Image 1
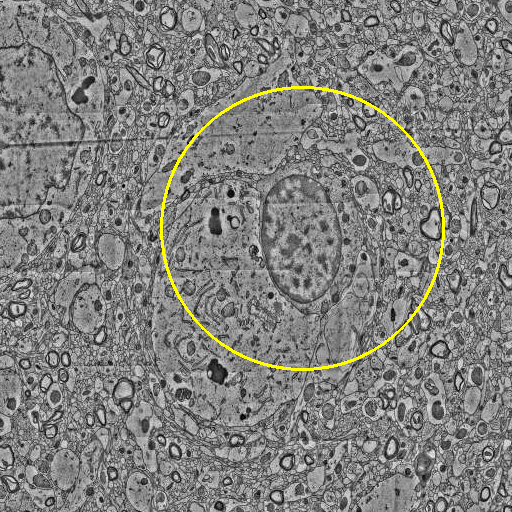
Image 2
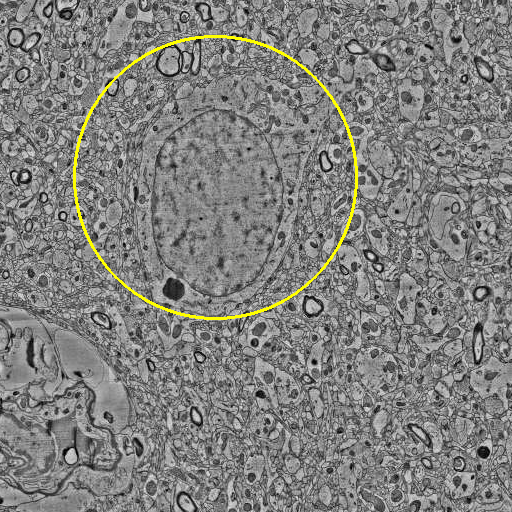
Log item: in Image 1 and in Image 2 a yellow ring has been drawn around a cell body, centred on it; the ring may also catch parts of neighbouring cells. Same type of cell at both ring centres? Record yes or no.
no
